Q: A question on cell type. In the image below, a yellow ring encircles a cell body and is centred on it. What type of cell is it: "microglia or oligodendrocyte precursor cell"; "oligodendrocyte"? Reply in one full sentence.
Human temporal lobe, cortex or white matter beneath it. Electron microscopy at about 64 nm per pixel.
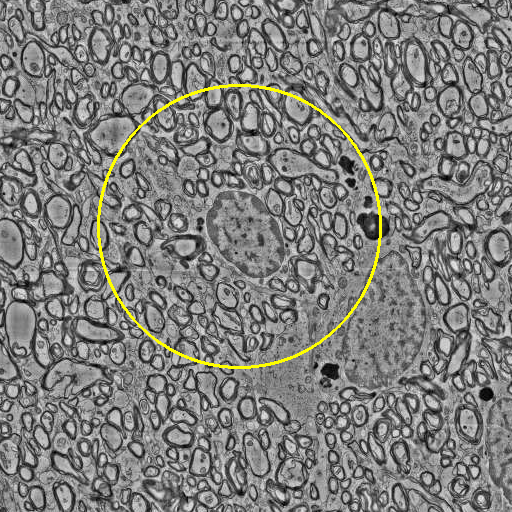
It is a microglial cell or oligodendrocyte precursor cell whose cell body sits at the centre of the yellow ring in the image.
